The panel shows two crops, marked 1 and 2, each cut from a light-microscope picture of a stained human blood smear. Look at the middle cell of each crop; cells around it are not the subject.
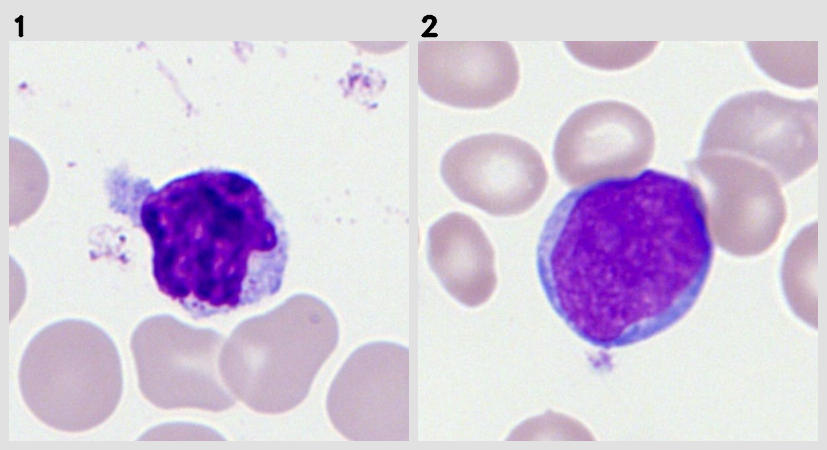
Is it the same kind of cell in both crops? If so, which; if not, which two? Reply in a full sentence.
No, the cell at the middle of crop 1 is a lymphocyte, while crop 2 centres on a myeloblast.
